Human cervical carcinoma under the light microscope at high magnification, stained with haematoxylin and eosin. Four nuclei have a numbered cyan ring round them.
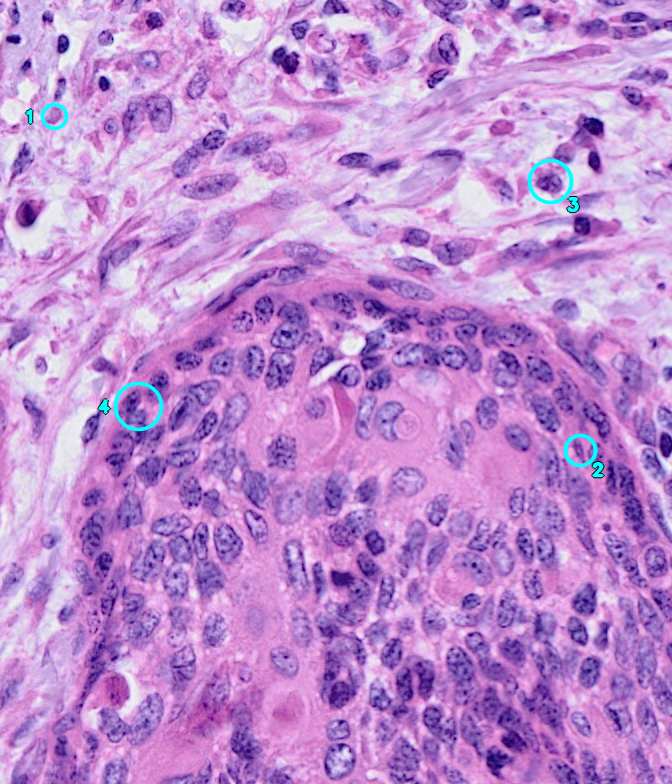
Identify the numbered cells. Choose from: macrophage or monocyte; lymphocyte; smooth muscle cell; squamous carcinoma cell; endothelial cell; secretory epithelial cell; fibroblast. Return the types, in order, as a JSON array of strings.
["fibroblast", "squamous carcinoma cell", "macrophage or monocyte", "squamous carcinoma cell"]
